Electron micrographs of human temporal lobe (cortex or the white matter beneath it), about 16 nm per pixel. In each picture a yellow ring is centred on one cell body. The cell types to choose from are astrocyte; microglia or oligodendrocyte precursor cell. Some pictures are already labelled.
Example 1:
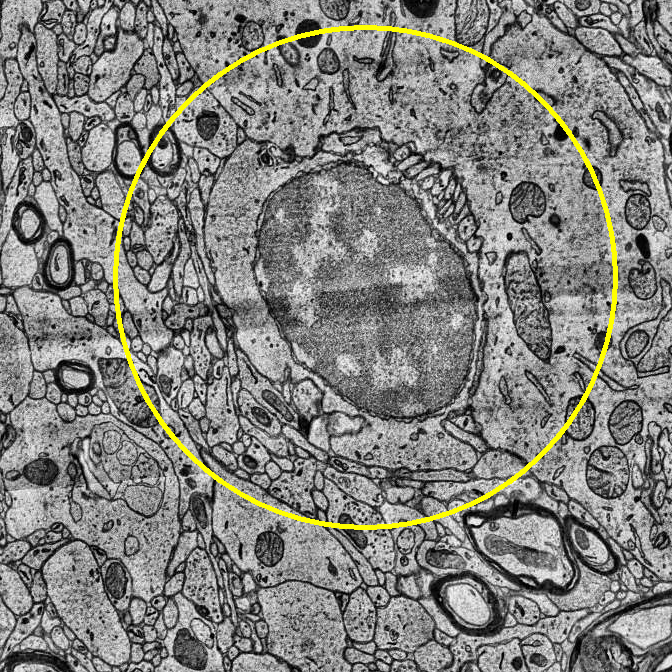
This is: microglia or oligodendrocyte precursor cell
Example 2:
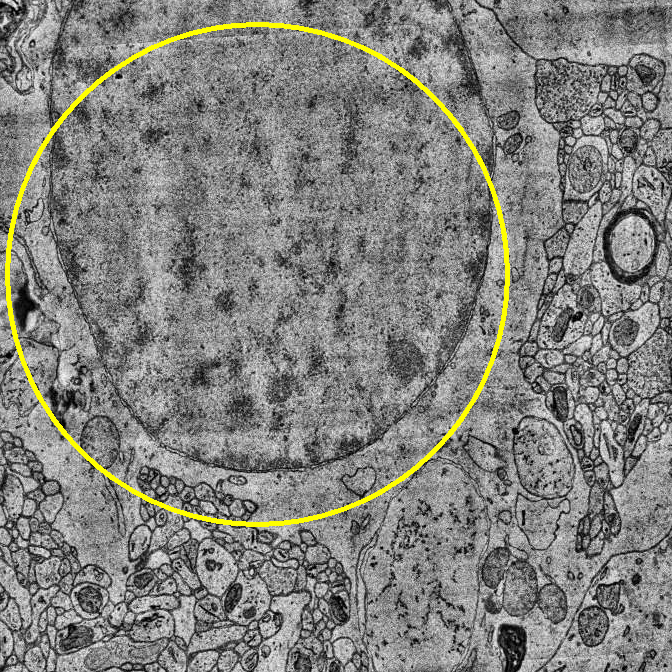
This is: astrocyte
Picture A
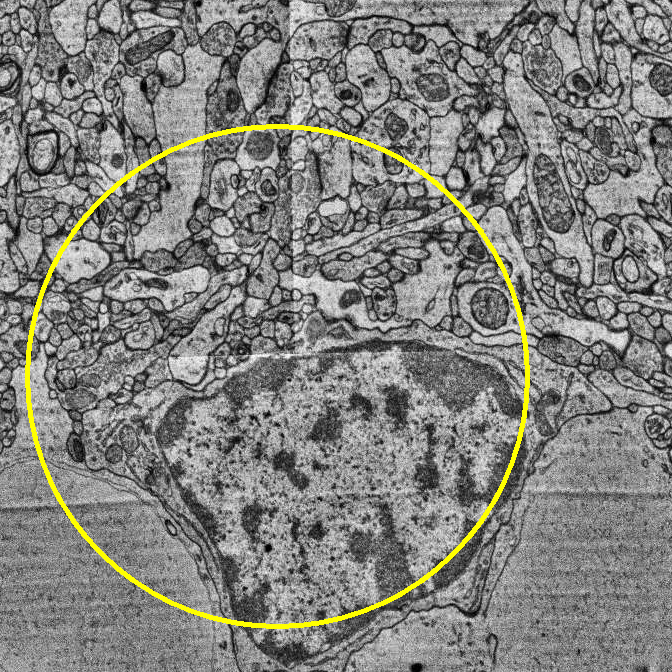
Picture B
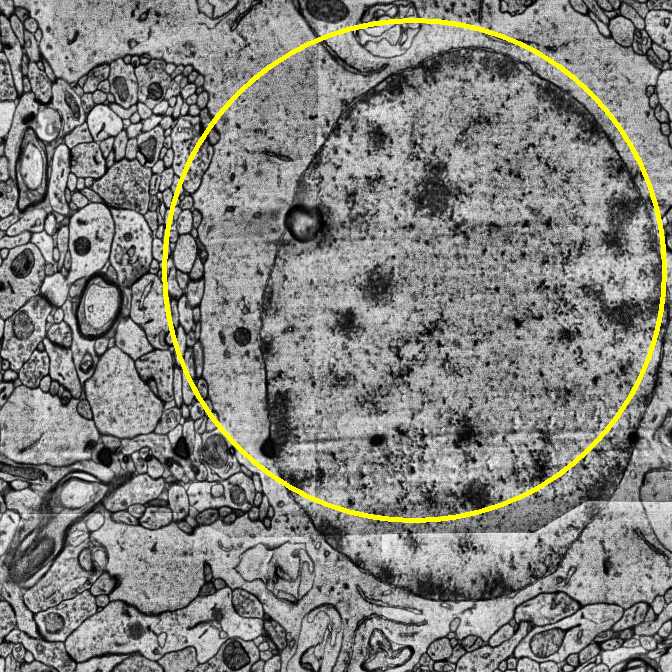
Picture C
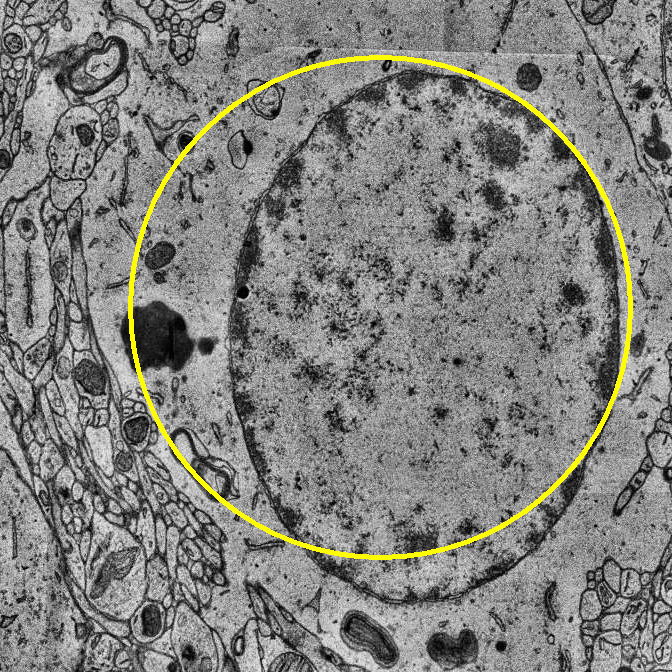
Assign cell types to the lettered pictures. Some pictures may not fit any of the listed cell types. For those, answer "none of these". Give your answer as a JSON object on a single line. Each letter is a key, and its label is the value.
{"A": "microglia or oligodendrocyte precursor cell", "B": "astrocyte", "C": "astrocyte"}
